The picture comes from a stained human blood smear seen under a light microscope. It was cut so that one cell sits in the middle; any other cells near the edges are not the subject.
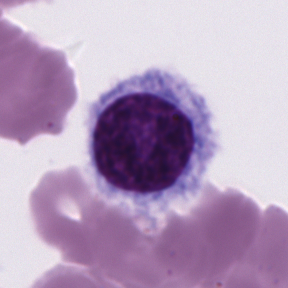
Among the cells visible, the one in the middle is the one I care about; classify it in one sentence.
In the central position of this crop, the cell is a hairy cell.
